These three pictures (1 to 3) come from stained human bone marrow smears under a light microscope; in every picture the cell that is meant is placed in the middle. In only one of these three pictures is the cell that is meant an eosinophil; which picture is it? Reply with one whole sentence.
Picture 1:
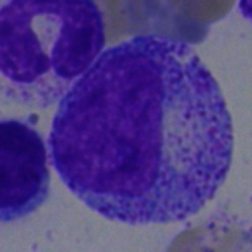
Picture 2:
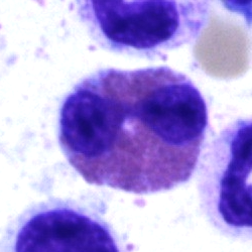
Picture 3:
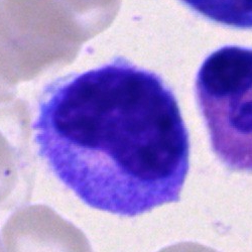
The cell in picture 2 is the eosinophil.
